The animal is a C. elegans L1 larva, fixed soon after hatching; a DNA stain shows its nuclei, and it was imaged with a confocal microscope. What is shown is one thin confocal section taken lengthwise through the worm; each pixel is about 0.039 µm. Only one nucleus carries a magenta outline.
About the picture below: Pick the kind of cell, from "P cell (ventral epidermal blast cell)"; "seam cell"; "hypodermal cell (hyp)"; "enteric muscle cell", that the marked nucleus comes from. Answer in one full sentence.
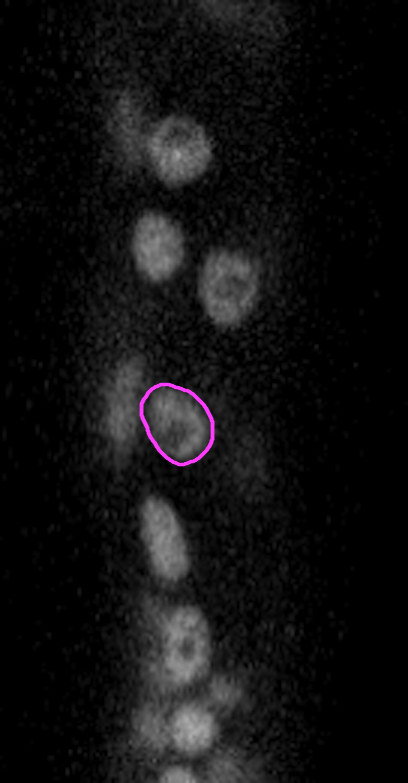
This is the nucleus of a seam cell.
